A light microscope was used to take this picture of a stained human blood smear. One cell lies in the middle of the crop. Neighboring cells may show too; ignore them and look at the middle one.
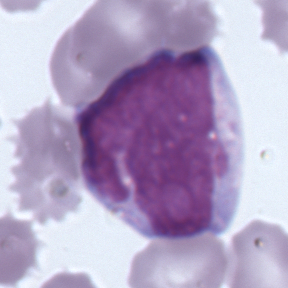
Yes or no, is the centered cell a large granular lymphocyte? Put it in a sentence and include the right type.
No, the cell in the middle of the field is a myeloblast, not a large granular lymphocyte as suggested.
